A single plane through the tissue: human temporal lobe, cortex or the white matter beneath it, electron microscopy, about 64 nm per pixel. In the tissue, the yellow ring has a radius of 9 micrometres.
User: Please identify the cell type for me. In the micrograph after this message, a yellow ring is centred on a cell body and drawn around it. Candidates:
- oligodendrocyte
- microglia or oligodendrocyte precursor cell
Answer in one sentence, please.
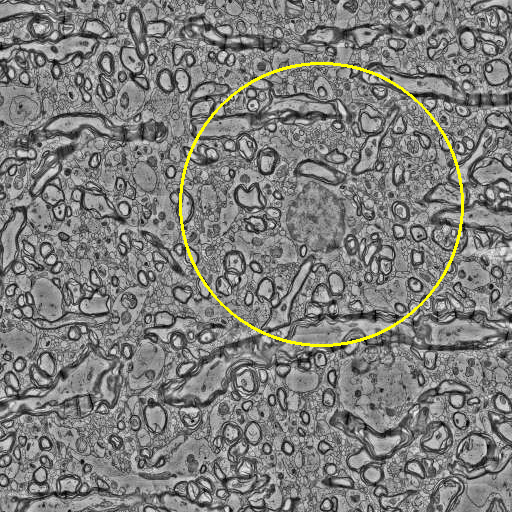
The ring is drawn around the cell body of an oligodendrocyte.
